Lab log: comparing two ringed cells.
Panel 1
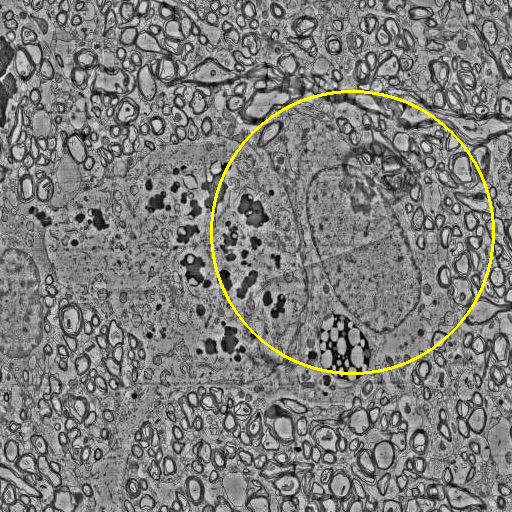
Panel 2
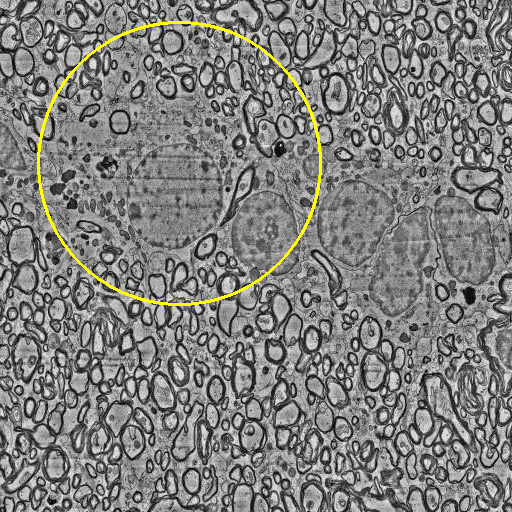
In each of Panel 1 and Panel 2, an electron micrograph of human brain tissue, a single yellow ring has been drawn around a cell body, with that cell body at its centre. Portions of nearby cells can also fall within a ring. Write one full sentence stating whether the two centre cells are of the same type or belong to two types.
The cells at the ring centres in Panel 1 and Panel 2 are of the same type.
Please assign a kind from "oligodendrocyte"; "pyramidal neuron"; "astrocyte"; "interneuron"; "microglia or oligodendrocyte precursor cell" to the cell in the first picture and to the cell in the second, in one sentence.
Each of the two pictures has an astrocyte at the ring centre.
